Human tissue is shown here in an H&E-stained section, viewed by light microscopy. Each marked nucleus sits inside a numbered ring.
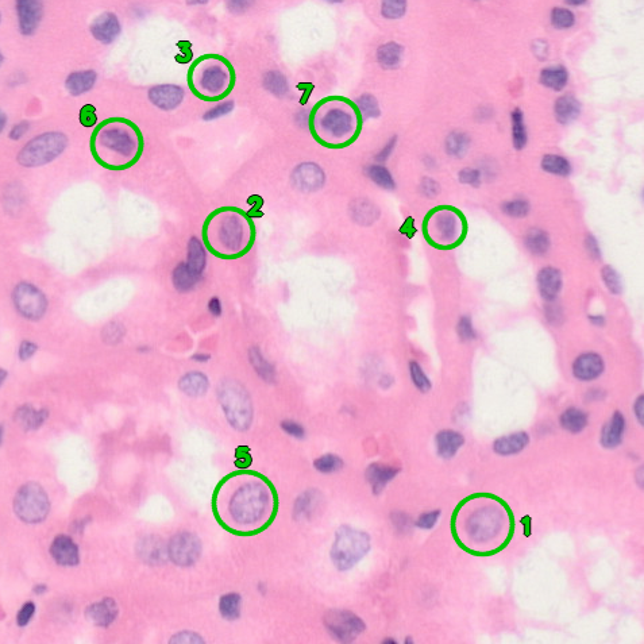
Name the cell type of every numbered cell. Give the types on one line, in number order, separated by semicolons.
proximal tubule cell; proximal tubule cell; loop of Henle or distal tubule cell; loop of Henle or distal tubule cell; proximal tubule cell; proximal tubule cell; loop of Henle or distal tubule cell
